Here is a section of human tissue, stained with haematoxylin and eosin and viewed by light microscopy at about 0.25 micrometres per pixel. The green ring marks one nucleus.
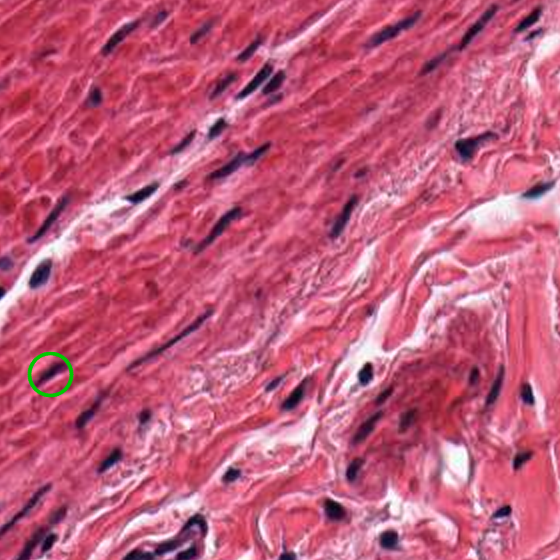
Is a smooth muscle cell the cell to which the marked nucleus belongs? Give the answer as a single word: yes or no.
yes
